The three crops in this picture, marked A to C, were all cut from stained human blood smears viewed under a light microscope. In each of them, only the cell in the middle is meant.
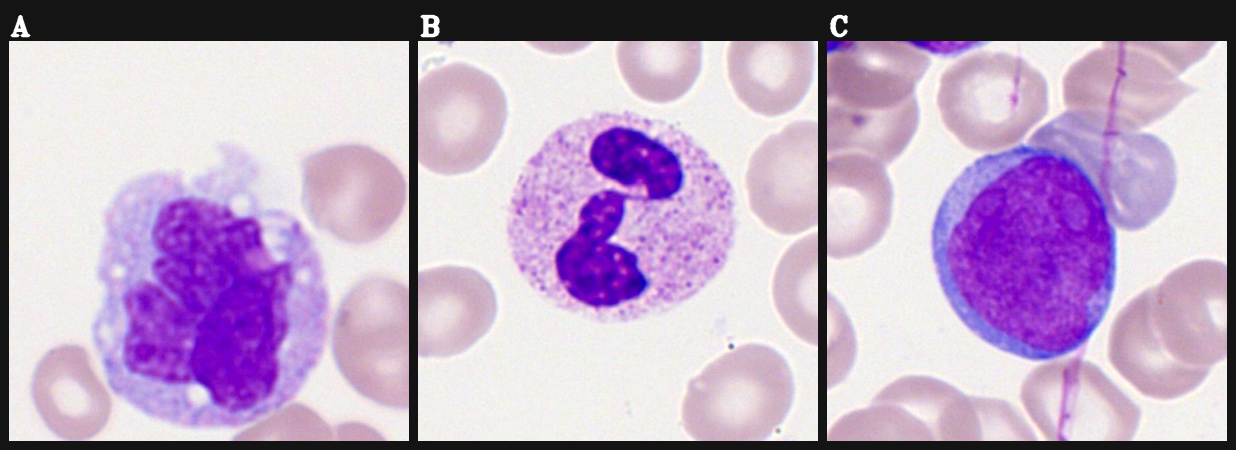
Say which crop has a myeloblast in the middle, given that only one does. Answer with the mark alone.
C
